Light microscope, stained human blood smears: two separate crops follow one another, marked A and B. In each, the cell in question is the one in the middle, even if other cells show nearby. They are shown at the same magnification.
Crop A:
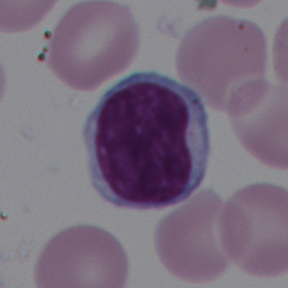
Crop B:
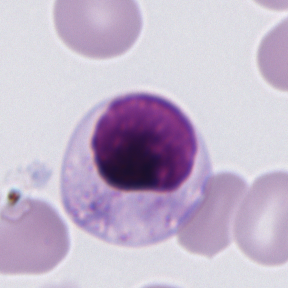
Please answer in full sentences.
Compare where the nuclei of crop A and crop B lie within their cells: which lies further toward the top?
Seen within its cell, the nucleus in crop B lies further toward the top.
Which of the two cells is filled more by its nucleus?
It is the cell in crop A that is filled more by its nucleus.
